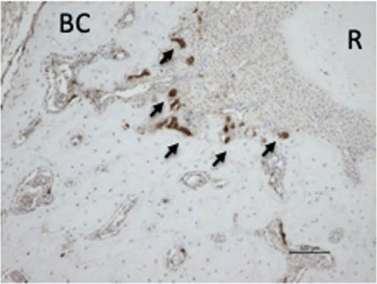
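This is a section of periodontal tissue in which pale bone, containing many small scattered lacunae with blue-stained nuclei, is crossed by irregular channels and spaces filled with soft tissue. To one side lies a paler, smoothly textured tooth root bordered by a more cellular fibrous band. Along the edges of several of the spaces sit large cells stained dark brown, some rounded and some elongated, several of them grouped in small clusters pressed against the bone surface.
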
